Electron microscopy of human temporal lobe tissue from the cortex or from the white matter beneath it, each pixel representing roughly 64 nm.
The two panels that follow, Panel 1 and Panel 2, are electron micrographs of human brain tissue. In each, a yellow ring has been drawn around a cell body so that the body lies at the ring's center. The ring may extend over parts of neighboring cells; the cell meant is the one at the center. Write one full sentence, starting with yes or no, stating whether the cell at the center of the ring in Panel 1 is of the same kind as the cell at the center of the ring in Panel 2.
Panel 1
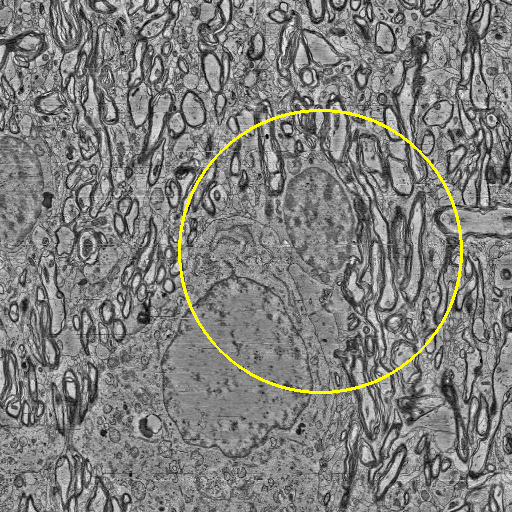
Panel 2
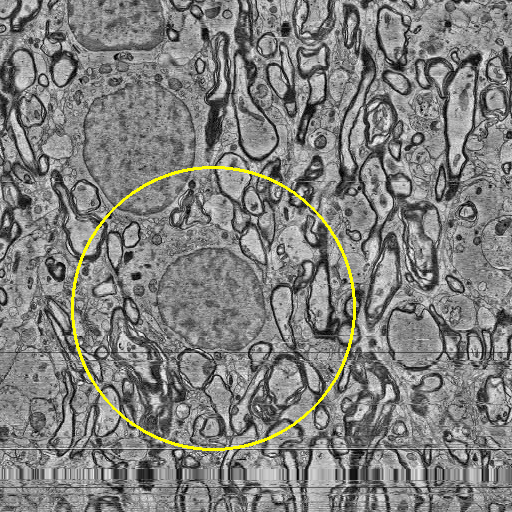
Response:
Yes, the cells in both panels are of the same kind.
